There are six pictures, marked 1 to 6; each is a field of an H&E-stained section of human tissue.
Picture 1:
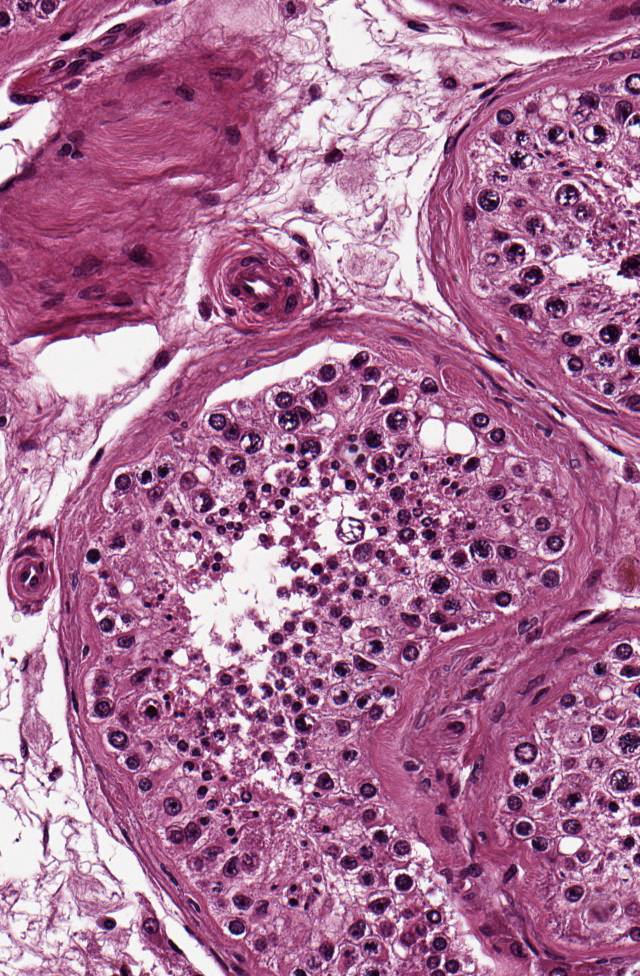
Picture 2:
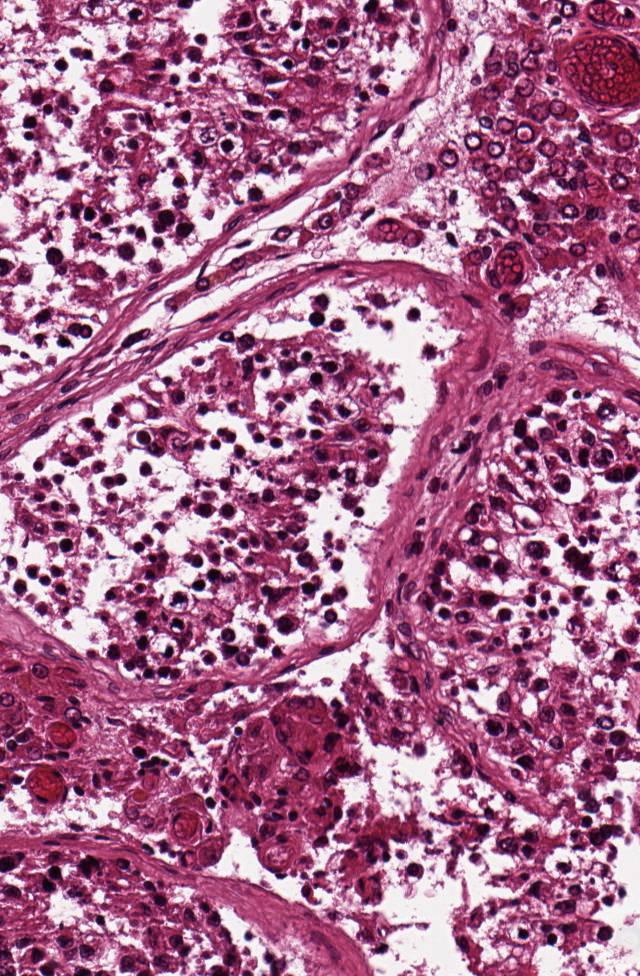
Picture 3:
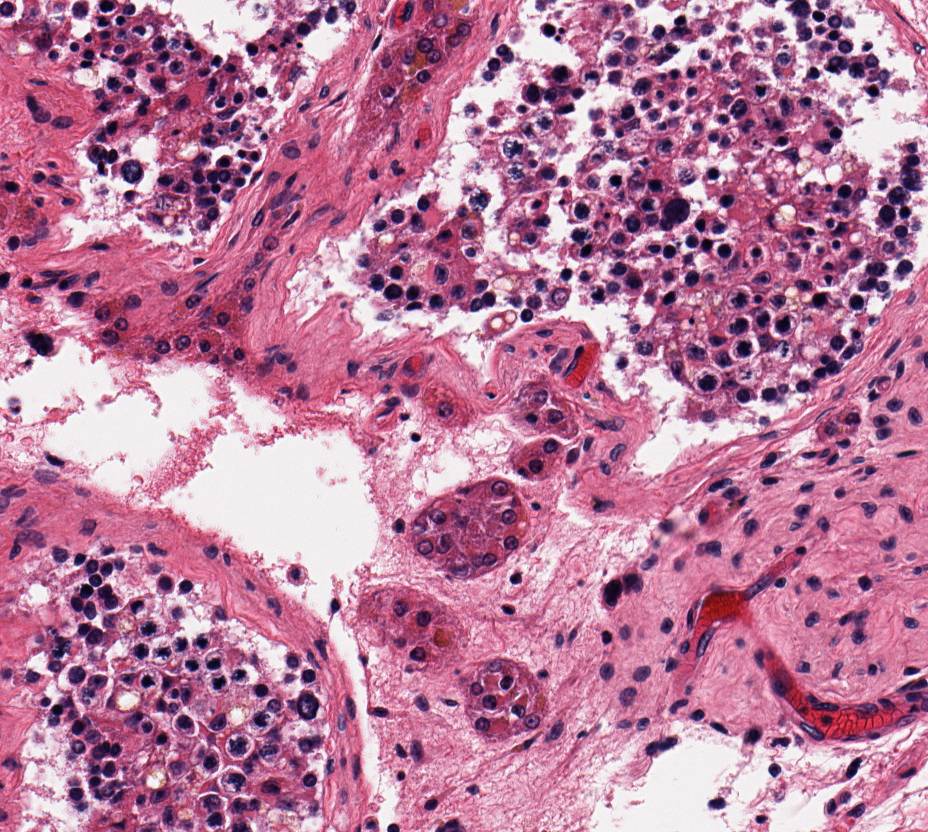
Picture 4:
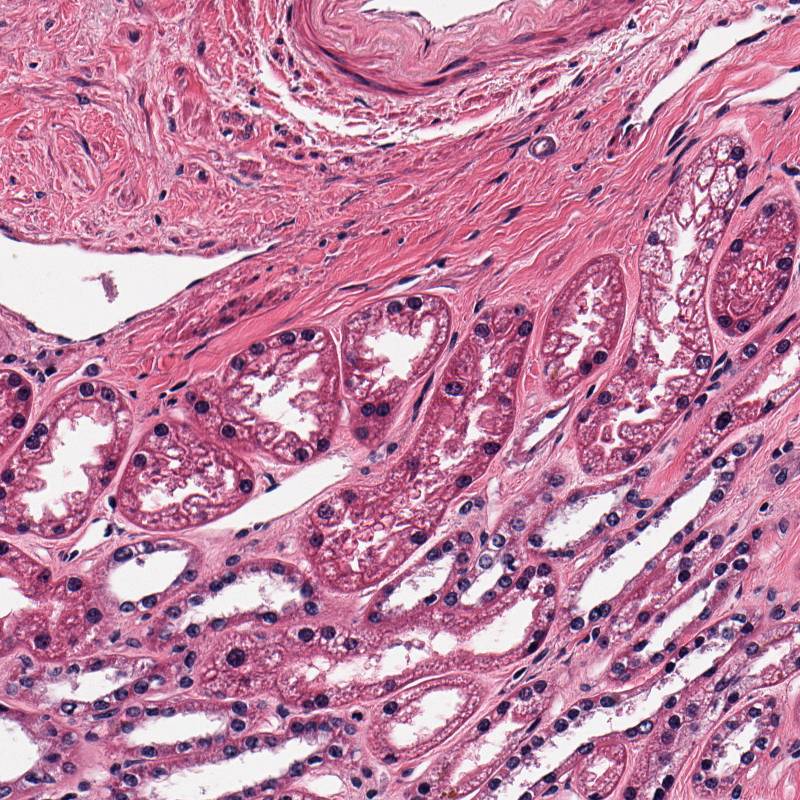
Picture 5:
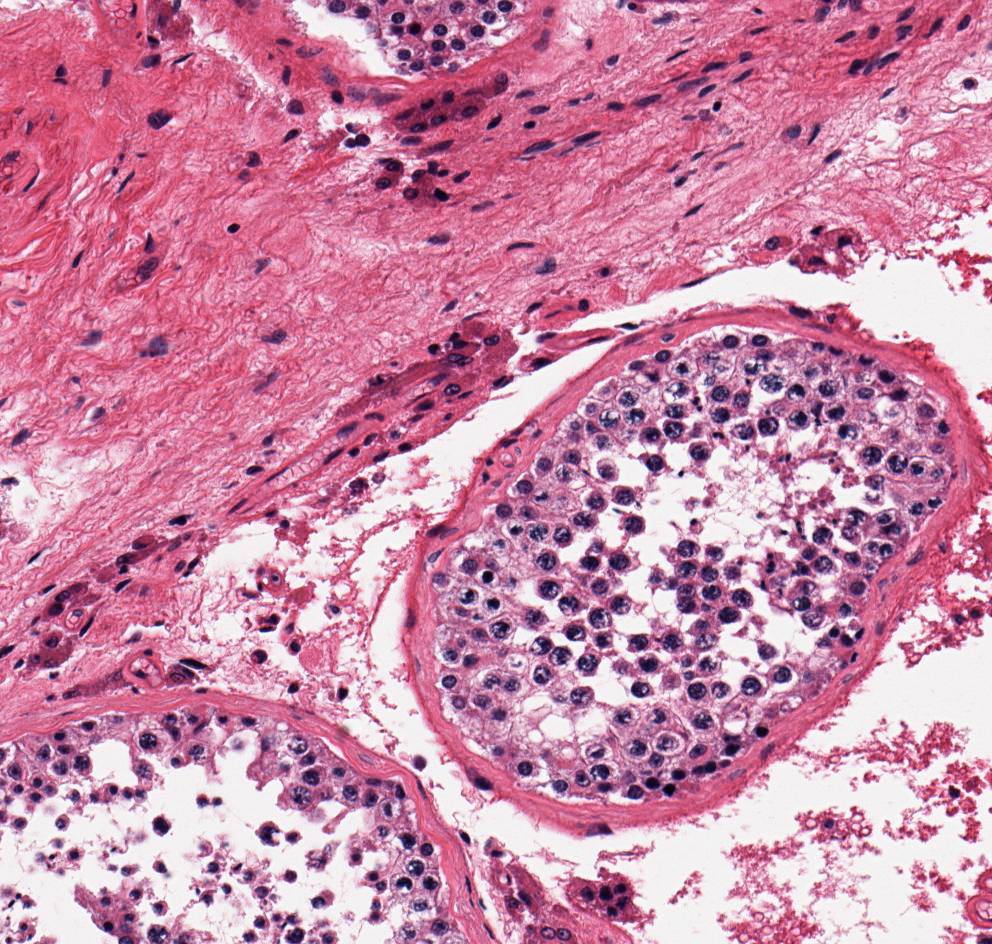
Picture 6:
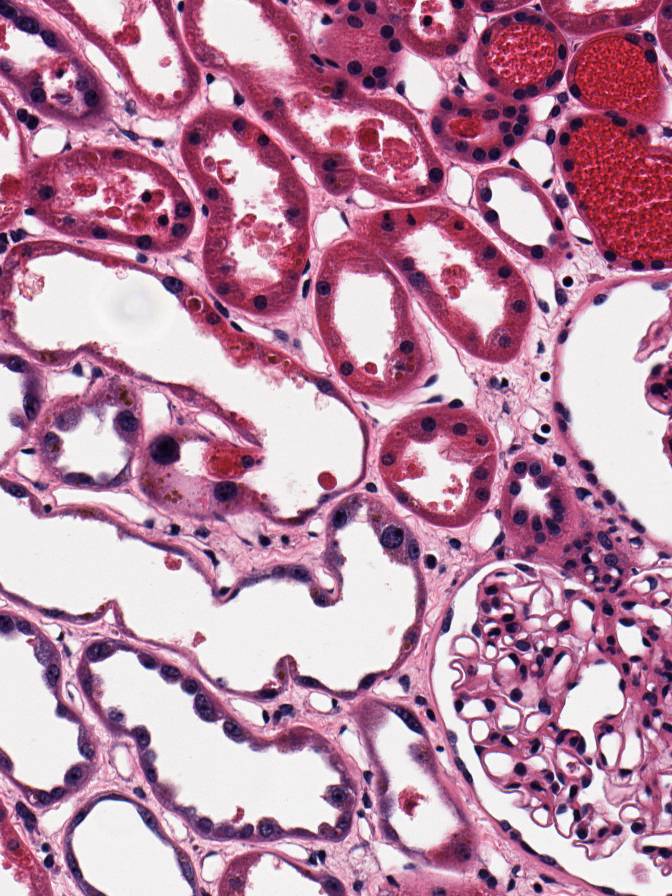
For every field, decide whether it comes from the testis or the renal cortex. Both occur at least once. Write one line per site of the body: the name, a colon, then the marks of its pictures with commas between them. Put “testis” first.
testis: 1, 2, 3, 5
renal cortex: 4, 6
